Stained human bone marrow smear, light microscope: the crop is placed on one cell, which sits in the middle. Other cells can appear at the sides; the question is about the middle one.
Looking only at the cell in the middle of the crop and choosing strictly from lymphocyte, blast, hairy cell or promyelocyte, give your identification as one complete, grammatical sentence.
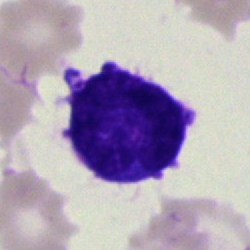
Positioned in the middle of the crop is a blast.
